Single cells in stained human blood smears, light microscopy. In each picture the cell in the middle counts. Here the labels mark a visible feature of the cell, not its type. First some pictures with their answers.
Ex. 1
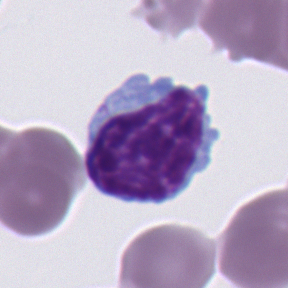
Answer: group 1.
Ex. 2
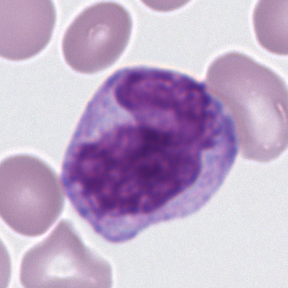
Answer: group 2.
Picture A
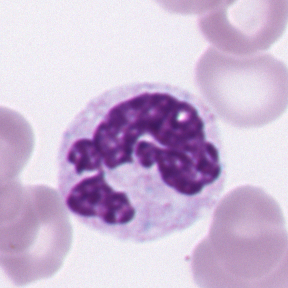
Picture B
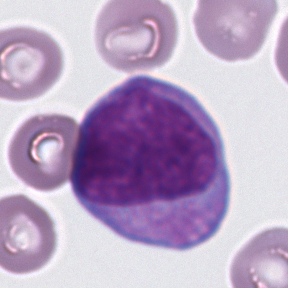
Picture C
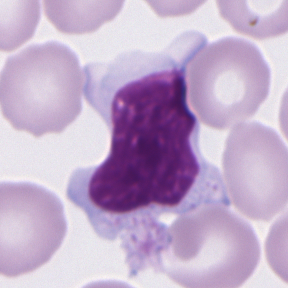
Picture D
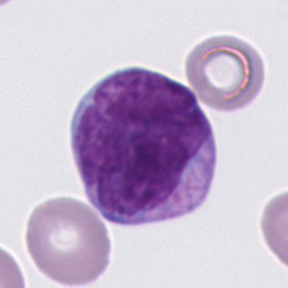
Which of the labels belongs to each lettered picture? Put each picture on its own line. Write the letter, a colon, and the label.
A: group 2.
B: group 2.
C: group 1.
D: group 2.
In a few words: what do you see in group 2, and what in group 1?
group 2, smooth outline; group 1, ragged outline or projections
